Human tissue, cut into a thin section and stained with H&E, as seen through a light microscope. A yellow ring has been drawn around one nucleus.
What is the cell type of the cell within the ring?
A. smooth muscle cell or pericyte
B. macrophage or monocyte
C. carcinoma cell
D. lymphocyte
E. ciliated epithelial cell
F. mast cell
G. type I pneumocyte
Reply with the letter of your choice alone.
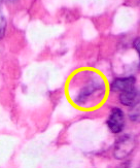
E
